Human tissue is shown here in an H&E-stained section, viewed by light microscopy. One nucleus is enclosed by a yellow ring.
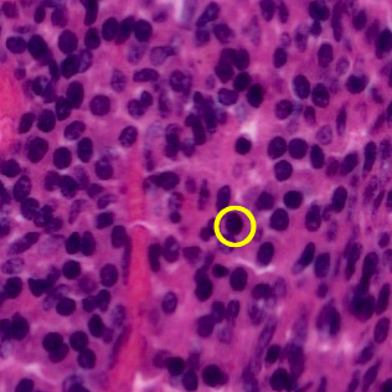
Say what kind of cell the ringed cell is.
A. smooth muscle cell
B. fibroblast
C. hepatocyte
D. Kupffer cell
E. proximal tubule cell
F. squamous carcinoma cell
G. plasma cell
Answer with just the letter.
G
